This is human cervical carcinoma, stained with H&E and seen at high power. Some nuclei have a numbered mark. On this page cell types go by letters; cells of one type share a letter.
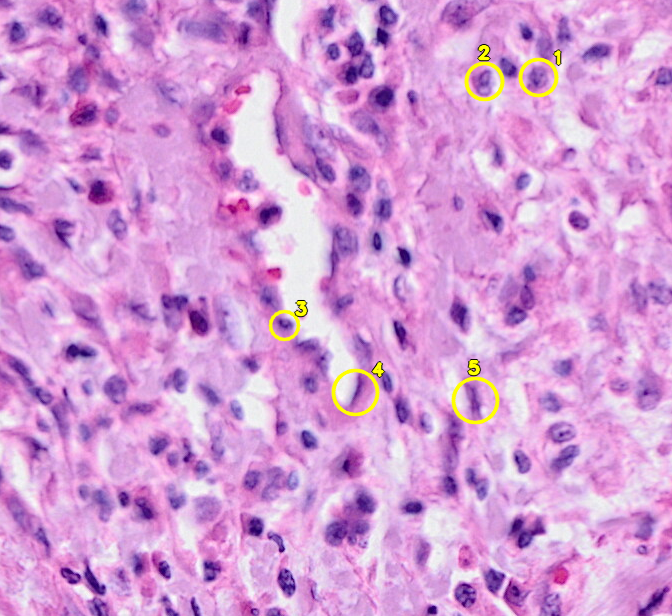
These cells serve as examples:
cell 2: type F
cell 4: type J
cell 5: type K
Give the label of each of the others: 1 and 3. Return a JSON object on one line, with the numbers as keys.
{"1": "type F", "3": "type J"}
